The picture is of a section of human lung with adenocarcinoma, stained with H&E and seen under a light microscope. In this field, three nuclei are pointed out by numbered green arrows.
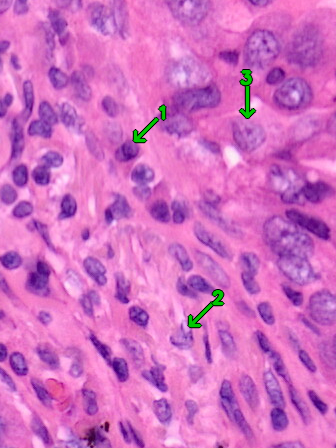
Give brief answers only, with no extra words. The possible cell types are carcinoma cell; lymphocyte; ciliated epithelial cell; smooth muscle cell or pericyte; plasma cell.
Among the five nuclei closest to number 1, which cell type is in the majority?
lymphocyte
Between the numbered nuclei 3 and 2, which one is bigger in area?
3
